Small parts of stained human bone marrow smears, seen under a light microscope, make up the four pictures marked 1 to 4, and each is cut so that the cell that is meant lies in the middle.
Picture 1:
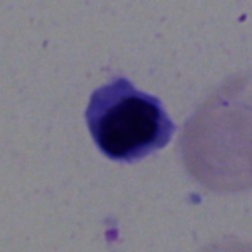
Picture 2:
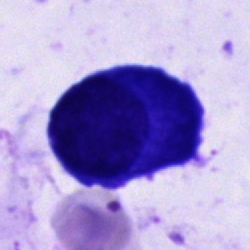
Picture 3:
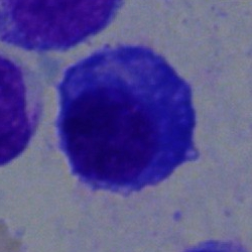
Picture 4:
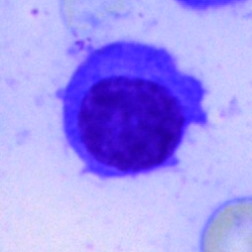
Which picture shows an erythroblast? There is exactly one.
1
